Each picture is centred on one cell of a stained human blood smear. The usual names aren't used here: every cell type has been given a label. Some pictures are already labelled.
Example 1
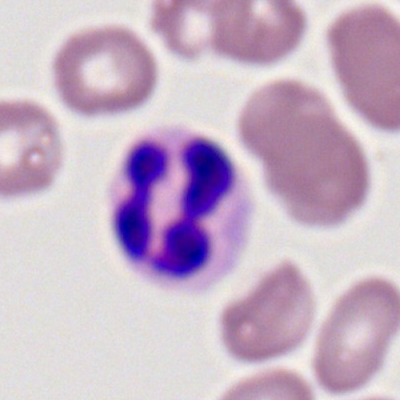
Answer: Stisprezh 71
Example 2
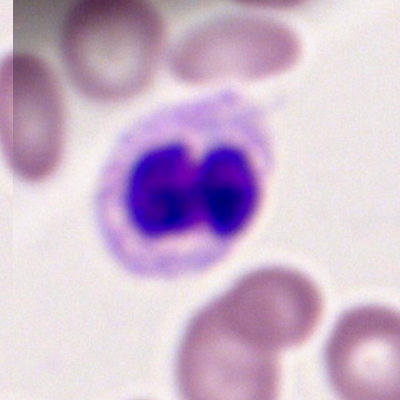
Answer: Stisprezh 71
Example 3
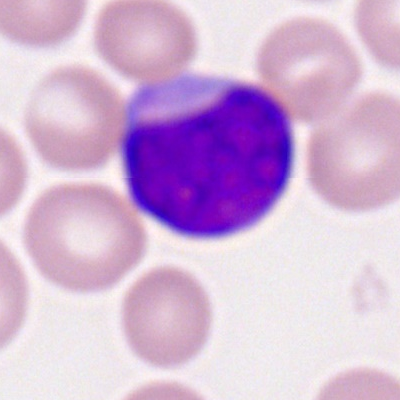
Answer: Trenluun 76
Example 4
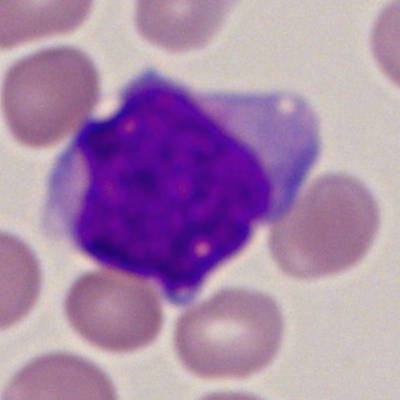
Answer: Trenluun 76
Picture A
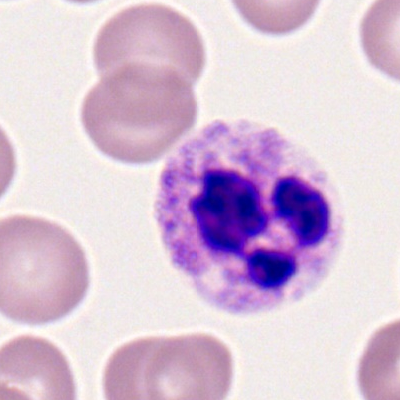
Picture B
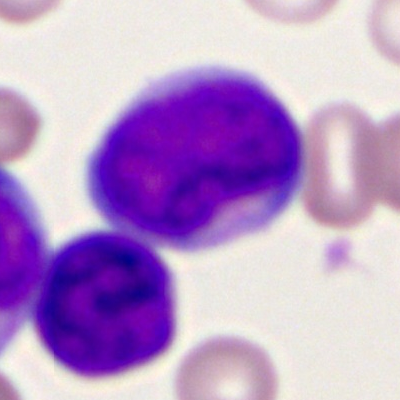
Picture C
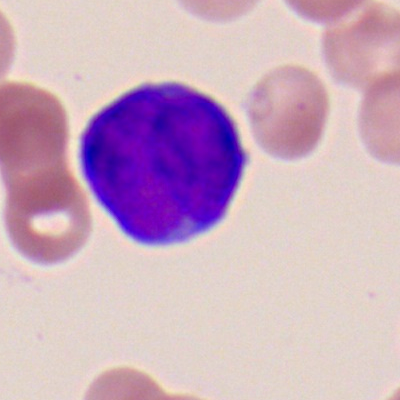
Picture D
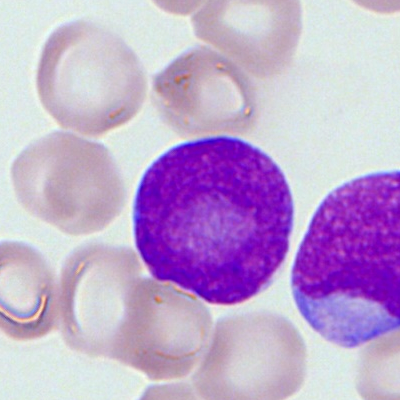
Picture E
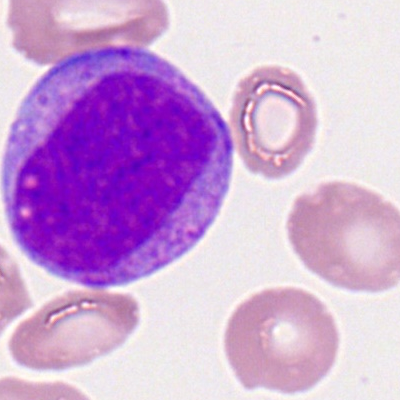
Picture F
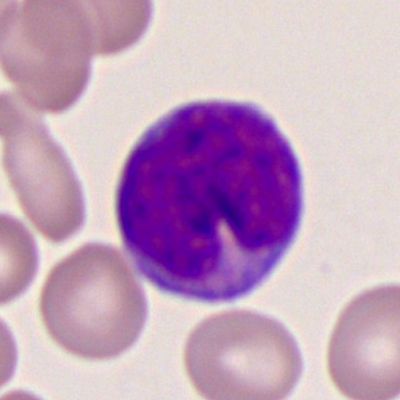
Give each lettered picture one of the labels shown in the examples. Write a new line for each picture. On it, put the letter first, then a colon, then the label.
A: Stisprezh 71
B: Trenluun 76
C: Trenluun 76
D: Trenluun 76
E: Trenluun 76
F: Trenluun 76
